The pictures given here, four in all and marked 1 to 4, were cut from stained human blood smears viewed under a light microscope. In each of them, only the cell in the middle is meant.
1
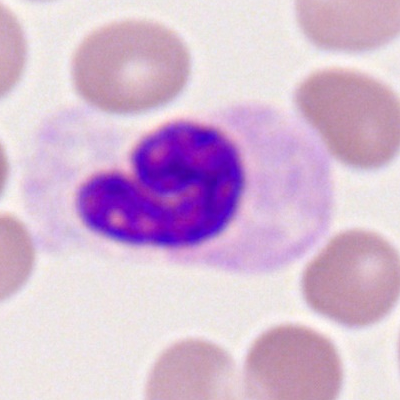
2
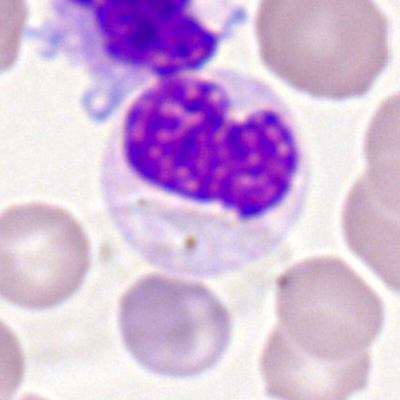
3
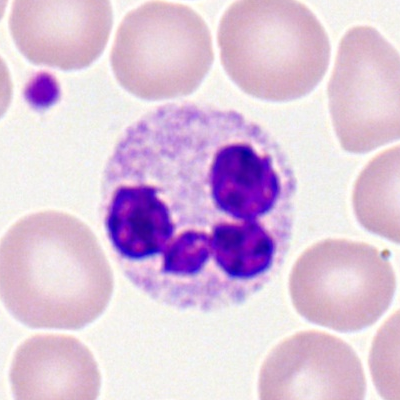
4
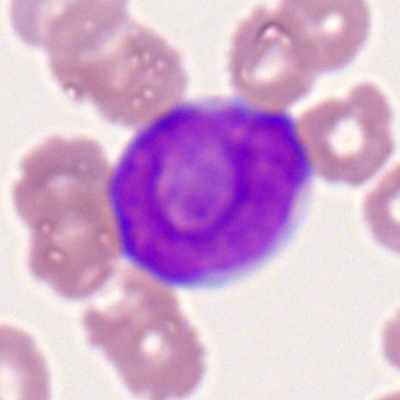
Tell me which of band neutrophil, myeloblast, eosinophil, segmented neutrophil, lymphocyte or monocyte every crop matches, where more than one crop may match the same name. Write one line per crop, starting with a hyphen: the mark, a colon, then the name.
- 1: band neutrophil
- 2: band neutrophil
- 3: segmented neutrophil
- 4: myeloblast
